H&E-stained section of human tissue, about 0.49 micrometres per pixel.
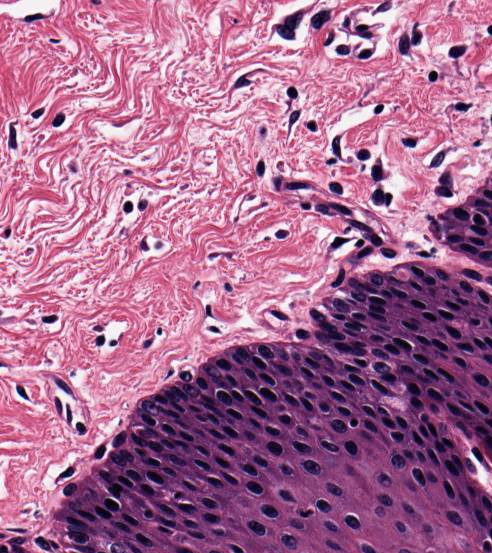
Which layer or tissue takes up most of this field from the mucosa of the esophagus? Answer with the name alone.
loose connective tissue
